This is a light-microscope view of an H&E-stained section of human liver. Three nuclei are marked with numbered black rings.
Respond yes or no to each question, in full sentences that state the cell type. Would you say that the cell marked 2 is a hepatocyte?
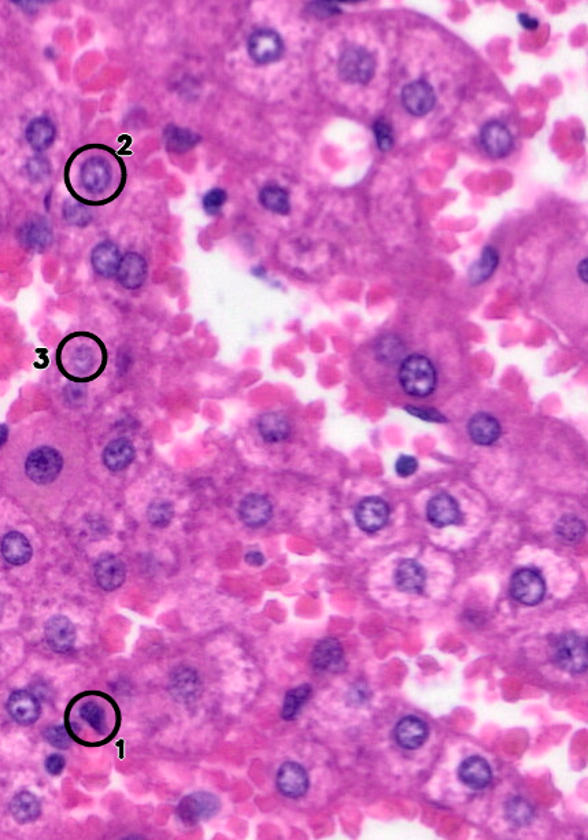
Yes, the cell carrying label 2 is a hepatocyte.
